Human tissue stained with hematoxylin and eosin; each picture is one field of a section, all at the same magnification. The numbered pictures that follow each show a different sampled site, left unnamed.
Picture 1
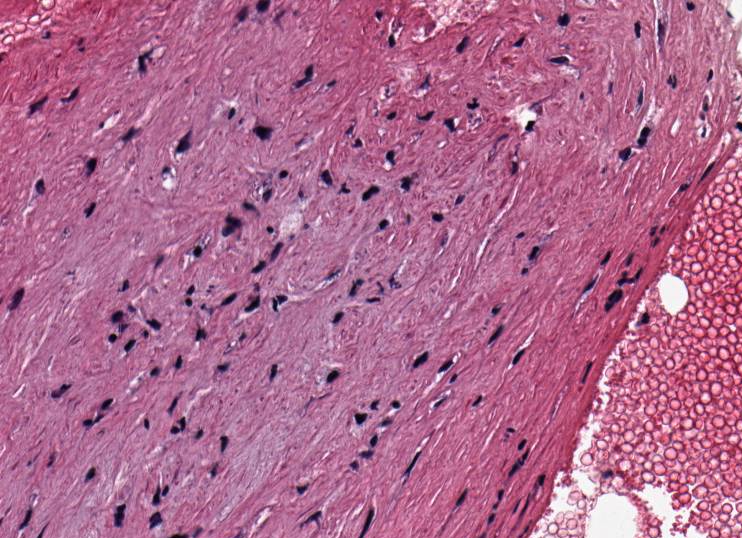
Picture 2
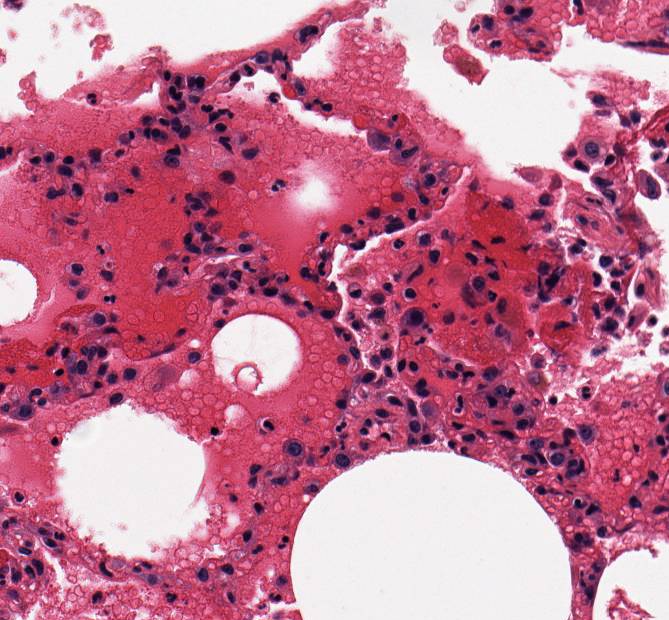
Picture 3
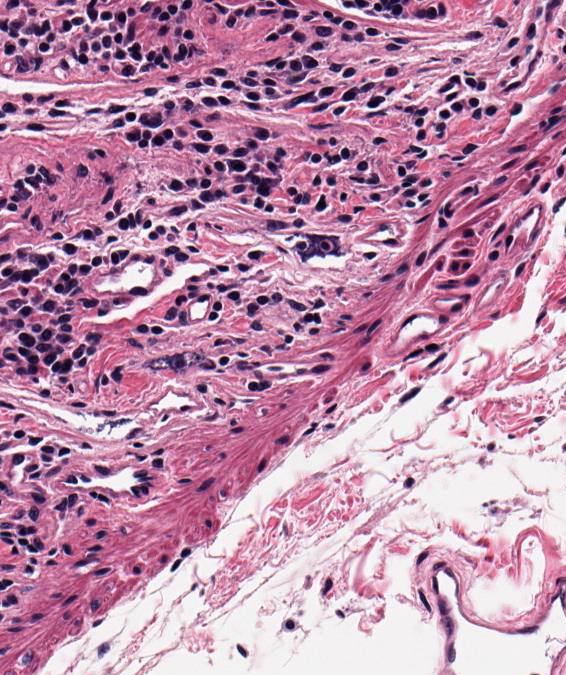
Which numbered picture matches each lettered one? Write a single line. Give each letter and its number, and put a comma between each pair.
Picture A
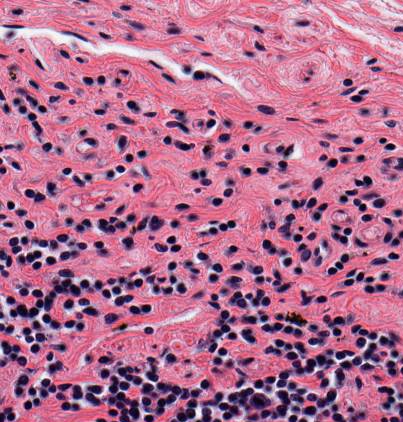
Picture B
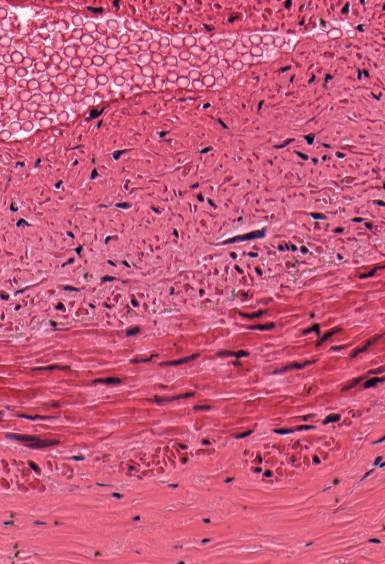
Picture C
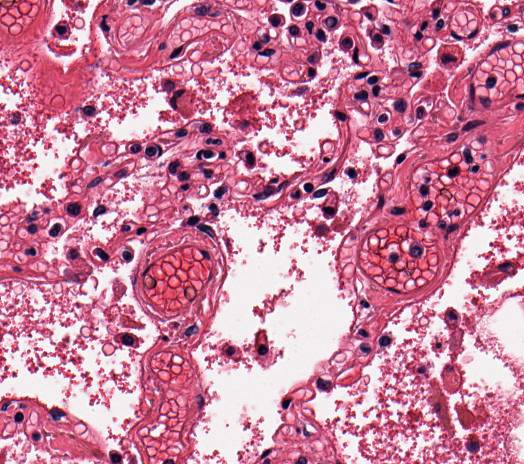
A 3, B 1, C 2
